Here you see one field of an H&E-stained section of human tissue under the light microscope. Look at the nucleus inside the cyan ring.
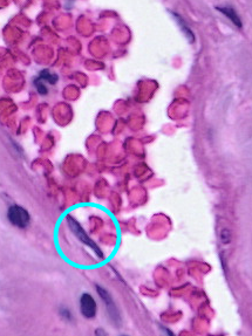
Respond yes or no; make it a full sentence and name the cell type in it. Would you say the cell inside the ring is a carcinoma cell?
No, the identity of the cell inside the ring is an endothelial cell, not a carcinoma cell.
